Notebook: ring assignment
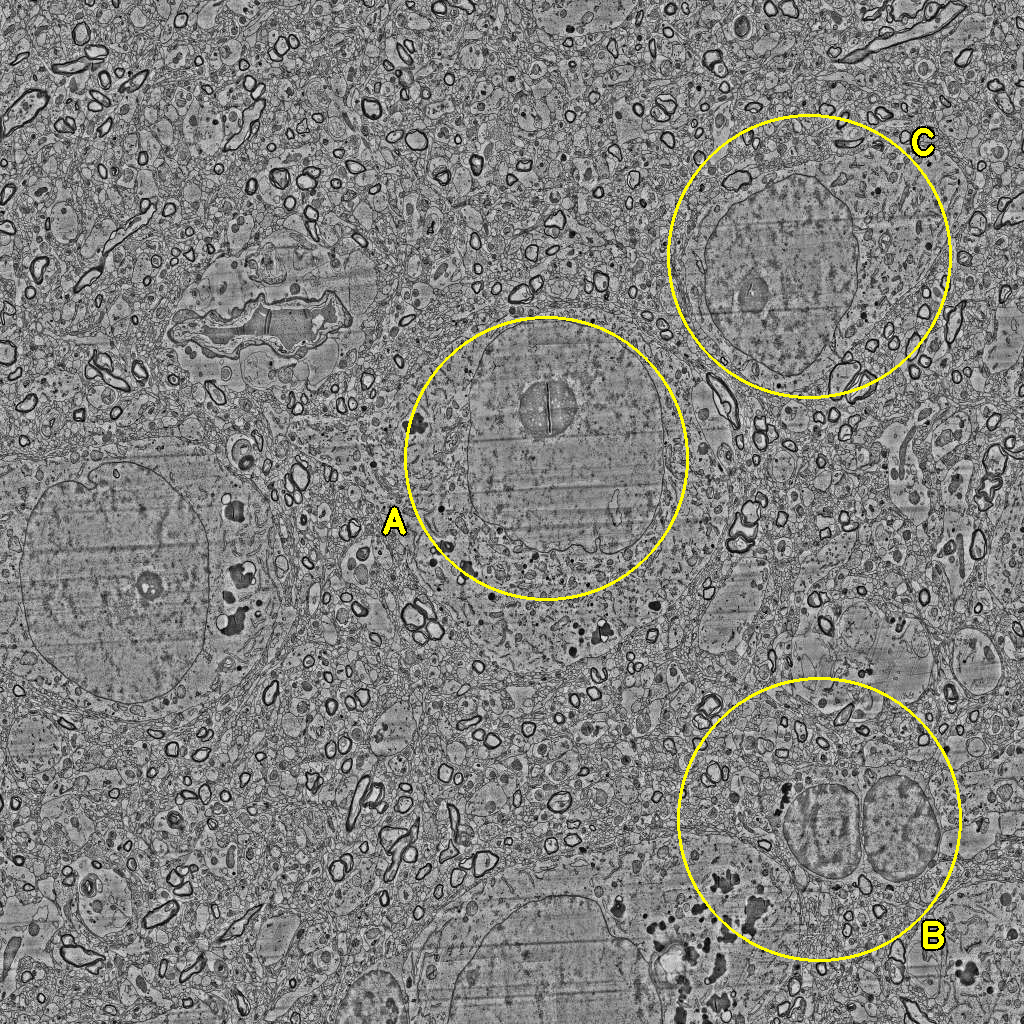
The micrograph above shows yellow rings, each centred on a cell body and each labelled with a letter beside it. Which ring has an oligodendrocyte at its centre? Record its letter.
B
